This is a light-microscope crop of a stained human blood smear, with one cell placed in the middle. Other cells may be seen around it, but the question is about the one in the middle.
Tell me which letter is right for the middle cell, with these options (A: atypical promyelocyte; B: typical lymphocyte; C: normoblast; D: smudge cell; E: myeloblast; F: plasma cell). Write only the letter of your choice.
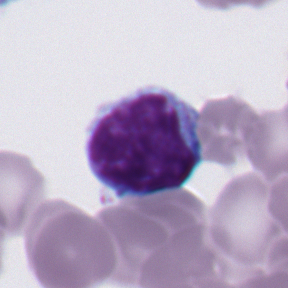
B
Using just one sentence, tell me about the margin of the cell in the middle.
The cell margin is rough and uneven, either ragged or drawn into projections.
